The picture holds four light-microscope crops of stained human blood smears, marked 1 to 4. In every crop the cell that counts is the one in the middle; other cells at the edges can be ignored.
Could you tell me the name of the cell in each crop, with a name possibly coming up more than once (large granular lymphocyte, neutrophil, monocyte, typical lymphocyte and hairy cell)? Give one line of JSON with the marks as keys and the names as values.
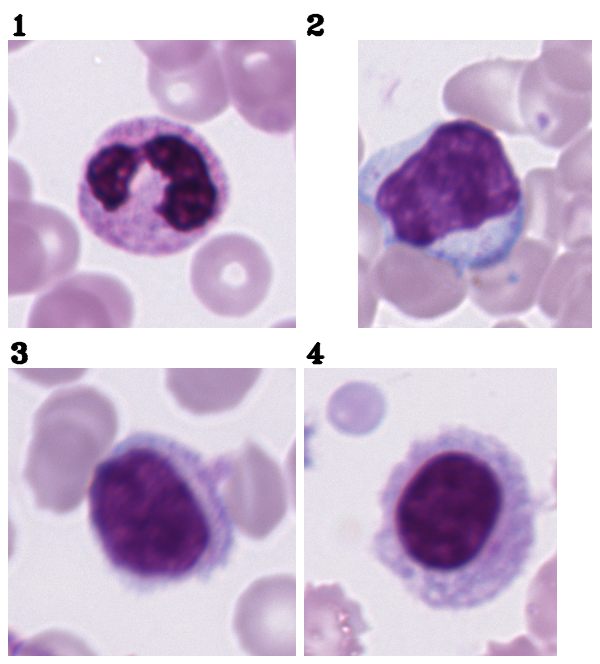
{"1": "neutrophil", "2": "typical lymphocyte", "3": "typical lymphocyte", "4": "hairy cell"}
